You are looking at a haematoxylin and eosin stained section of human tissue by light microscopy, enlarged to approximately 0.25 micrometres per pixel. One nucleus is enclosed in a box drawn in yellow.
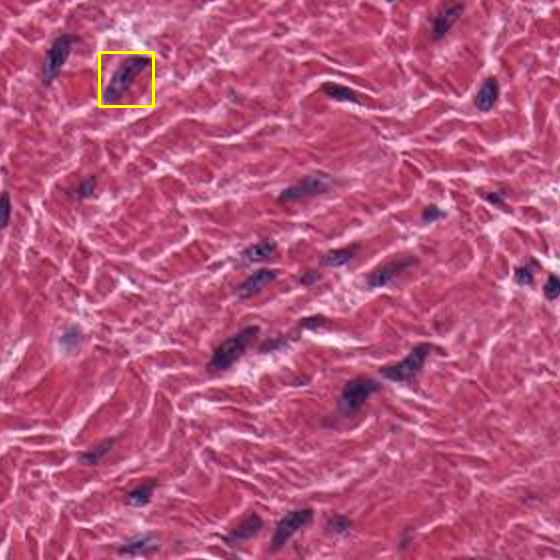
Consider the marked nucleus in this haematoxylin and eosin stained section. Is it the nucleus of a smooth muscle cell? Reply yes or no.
yes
